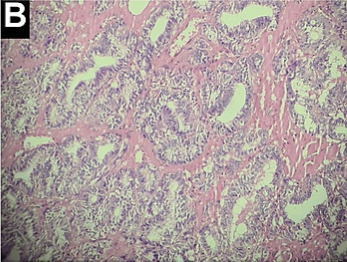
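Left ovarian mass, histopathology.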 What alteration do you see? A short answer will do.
papillary architecture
